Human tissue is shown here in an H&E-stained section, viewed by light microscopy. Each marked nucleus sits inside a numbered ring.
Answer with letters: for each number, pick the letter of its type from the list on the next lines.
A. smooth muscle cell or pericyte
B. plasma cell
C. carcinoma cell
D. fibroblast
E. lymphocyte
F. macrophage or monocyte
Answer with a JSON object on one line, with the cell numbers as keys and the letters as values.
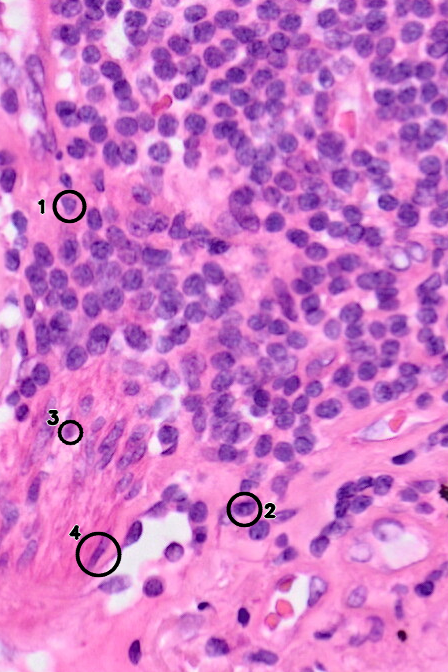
{"1": "E", "2": "E", "3": "A", "4": "A"}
